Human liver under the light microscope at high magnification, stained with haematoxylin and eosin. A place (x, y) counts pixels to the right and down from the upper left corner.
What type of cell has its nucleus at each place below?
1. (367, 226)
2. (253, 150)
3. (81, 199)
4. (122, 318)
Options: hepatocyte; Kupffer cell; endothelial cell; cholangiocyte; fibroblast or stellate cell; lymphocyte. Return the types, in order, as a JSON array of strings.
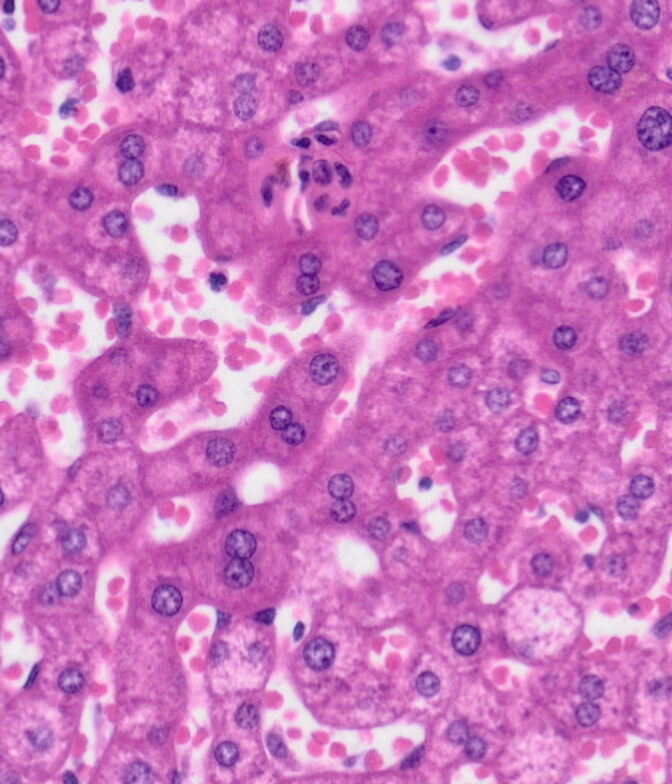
["hepatocyte", "hepatocyte", "hepatocyte", "endothelial cell"]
